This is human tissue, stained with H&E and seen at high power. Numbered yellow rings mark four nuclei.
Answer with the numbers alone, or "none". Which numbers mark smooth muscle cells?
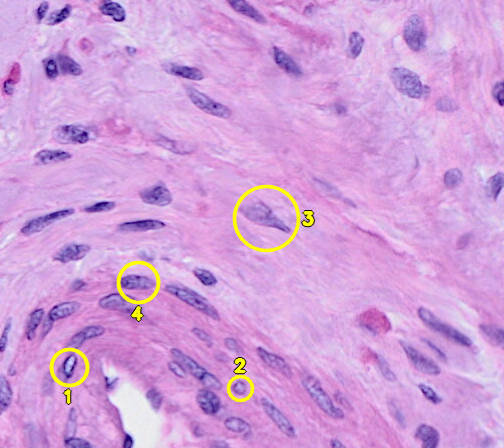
1, 2, 4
